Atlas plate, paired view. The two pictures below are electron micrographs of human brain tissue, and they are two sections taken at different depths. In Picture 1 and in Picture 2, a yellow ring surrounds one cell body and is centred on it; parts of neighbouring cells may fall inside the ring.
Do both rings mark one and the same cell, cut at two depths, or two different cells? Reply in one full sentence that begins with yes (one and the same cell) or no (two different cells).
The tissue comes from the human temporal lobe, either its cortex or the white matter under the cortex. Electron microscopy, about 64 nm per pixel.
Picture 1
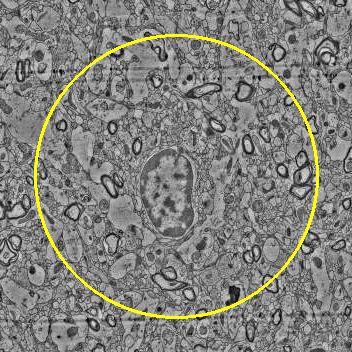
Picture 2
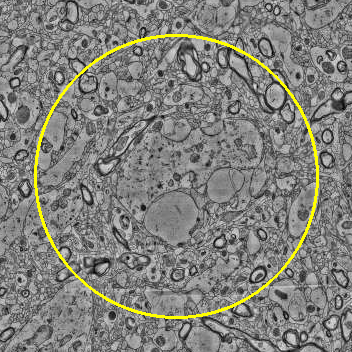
No, a different cell sits inside each of the two rings.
